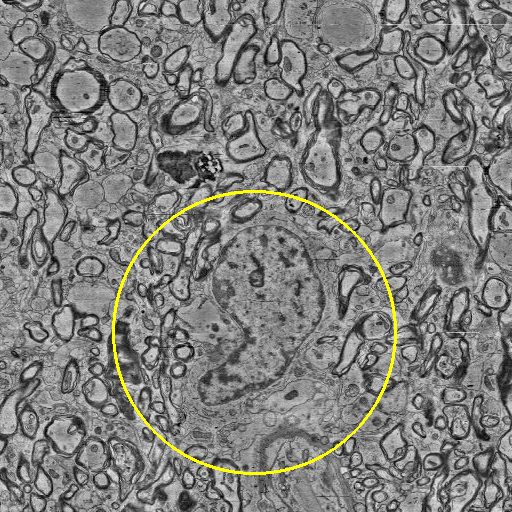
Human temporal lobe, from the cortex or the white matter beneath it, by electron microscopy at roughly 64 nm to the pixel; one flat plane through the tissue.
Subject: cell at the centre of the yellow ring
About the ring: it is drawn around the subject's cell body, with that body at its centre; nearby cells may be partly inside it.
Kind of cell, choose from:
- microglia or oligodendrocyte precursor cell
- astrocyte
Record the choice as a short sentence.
The subject cell is a microglial cell or oligodendrocyte precursor cell.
